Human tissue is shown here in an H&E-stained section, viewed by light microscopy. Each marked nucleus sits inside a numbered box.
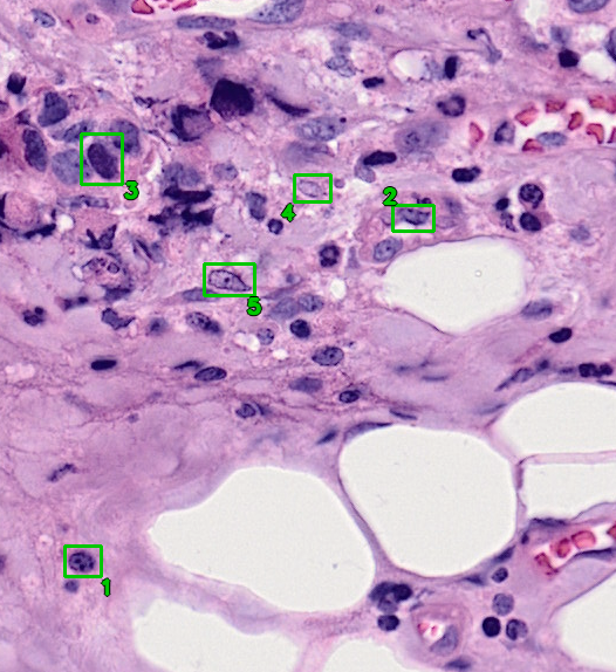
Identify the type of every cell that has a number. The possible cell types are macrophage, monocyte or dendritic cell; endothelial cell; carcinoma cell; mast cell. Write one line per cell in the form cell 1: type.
cell 1: mast cell
cell 2: endothelial cell
cell 3: carcinoma cell
cell 4: macrophage, monocyte or dendritic cell
cell 5: macrophage, monocyte or dendritic cell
